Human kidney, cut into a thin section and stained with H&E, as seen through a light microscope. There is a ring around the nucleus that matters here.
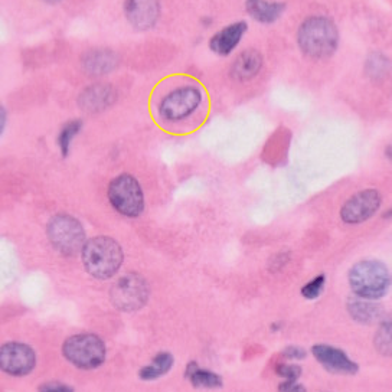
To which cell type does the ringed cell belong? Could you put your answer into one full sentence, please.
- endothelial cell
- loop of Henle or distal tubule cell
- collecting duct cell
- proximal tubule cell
At the level of cell identity, the ringed cell is a proximal tubule cell.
